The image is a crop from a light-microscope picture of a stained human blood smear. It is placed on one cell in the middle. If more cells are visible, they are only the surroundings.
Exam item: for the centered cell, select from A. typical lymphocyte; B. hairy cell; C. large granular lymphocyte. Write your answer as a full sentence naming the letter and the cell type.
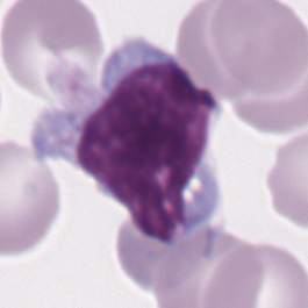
The cell in the middle is a typical lymphocyte, and that makes option A correct.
